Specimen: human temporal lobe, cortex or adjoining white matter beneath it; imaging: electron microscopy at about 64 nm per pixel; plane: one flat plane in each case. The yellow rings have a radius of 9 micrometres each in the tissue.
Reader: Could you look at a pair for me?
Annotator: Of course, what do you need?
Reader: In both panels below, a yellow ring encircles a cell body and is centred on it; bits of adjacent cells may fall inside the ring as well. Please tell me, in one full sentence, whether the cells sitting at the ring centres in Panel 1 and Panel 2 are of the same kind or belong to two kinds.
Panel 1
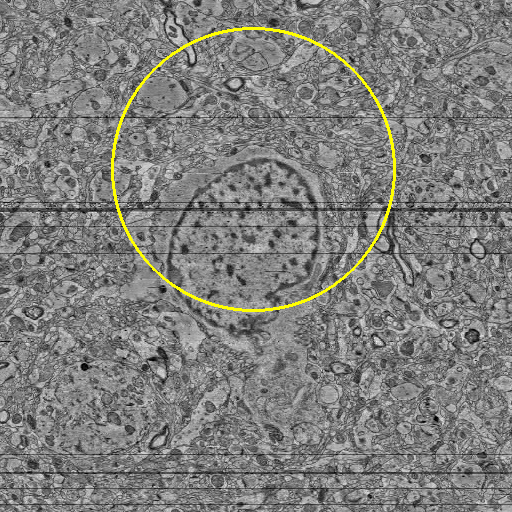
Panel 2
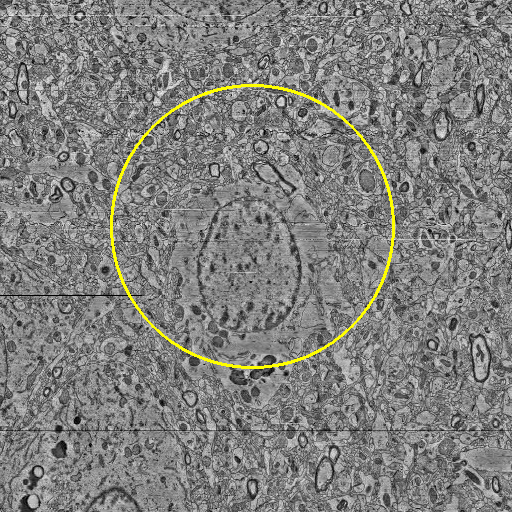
The cell at the ring's centre in Panel 1 and the one in Panel 2 belong to two kinds.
